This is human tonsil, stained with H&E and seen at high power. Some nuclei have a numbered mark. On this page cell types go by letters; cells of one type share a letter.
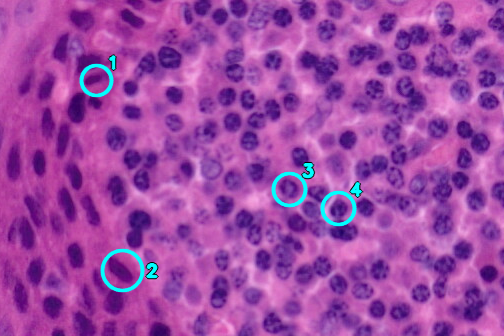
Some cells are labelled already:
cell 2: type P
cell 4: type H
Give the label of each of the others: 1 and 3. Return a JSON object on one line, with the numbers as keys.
{"1": "type P", "3": "type H"}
